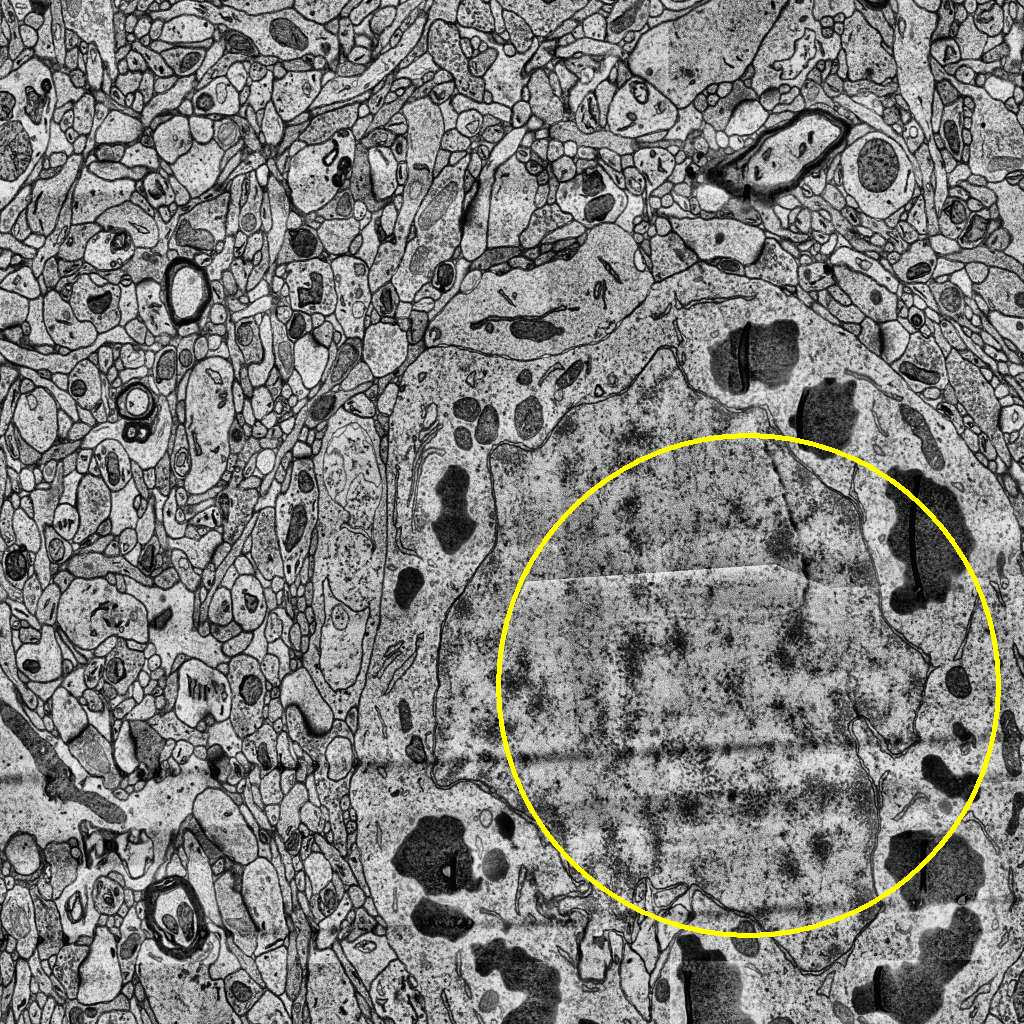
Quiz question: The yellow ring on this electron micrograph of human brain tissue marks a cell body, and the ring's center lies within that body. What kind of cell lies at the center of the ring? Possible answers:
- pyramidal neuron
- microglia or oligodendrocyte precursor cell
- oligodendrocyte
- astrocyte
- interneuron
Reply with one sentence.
The ring's center lies on an interneuron.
